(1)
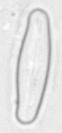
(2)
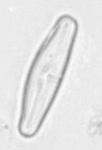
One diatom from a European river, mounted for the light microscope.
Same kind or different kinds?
Same: Achnanthidium.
